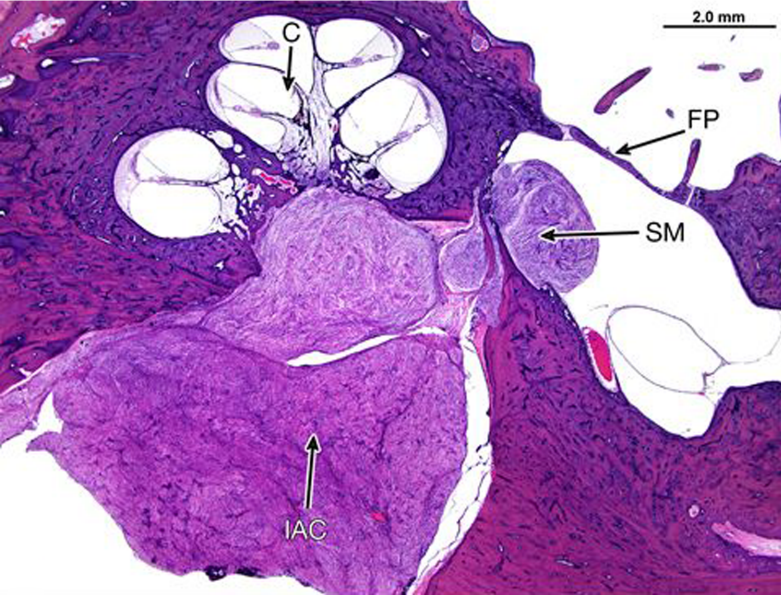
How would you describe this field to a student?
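This axial section of temporal bone shows the cochlea with its coiled turns above and a large solid tumor filling the internal auditory canal below it. The cochlear turns appear as round open fluid spaces divided by thin membranes, arranged around a central bony core that carries fibrillar neural tissue. Beneath the cochlea, a large purple mass with a fibrillar, faintly whorled texture occupies the canal and extends upward toward the cochlear core. To the right, a separate rounded nodule of similar whorled tissue sits inside an open vestibular space, close to a thin bony plate at the edge of the middle ear. The surrounding bone is dense and stains deep purple and pink.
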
